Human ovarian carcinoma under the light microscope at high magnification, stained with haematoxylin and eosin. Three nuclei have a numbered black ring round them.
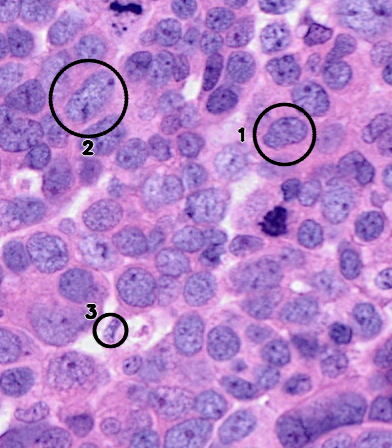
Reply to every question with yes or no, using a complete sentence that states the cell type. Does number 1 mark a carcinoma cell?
Yes, the cell referred to as number 1 is a carcinoma cell.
